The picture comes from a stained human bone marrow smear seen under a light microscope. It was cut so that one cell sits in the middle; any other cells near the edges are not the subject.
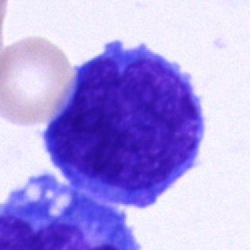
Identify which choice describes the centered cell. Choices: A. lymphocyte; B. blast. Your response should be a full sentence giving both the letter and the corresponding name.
The correct choice is option B, which identifies the middle cell as a blast.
